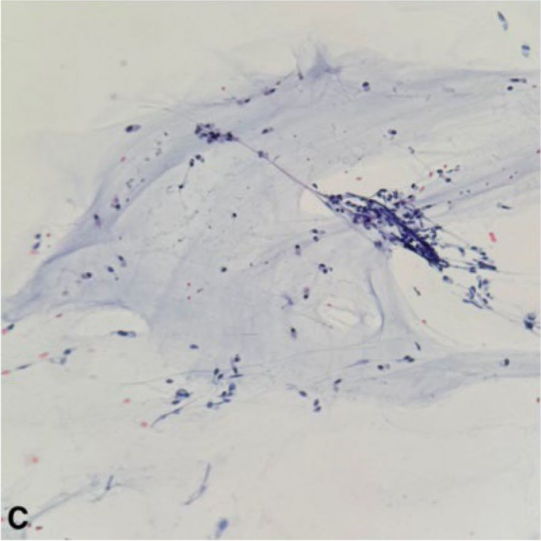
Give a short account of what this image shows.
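Pale blue-grey, wispy material forms thin sheets and strands across the field. Small dark, round to oval nuclei are strewn through it, singly and in small groups. Near the centre, a dense streak of crowded, drawn-out nuclei lies along a thin strand. A few red blood cells are scattered in the background.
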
